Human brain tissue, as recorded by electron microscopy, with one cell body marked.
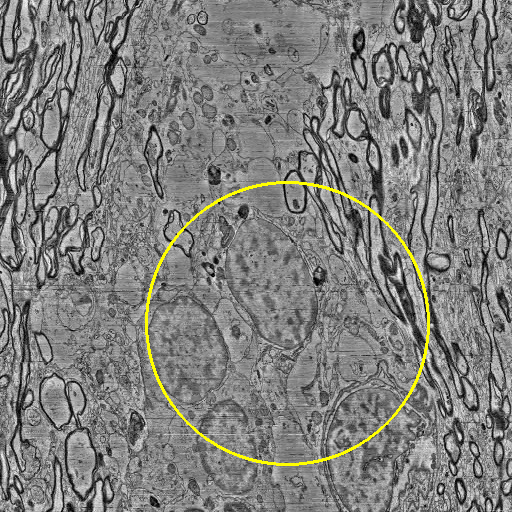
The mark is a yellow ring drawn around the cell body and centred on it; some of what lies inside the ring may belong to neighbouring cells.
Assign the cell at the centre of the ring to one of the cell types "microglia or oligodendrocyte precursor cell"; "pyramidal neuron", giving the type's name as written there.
microglia or oligodendrocyte precursor cell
